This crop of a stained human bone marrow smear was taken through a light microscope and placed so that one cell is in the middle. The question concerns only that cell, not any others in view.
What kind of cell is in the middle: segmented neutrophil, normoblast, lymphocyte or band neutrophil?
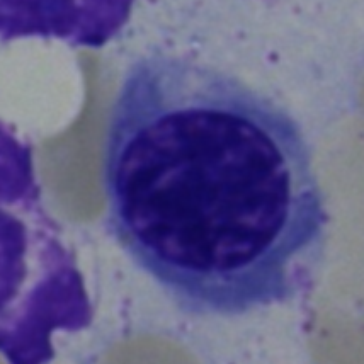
normoblast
